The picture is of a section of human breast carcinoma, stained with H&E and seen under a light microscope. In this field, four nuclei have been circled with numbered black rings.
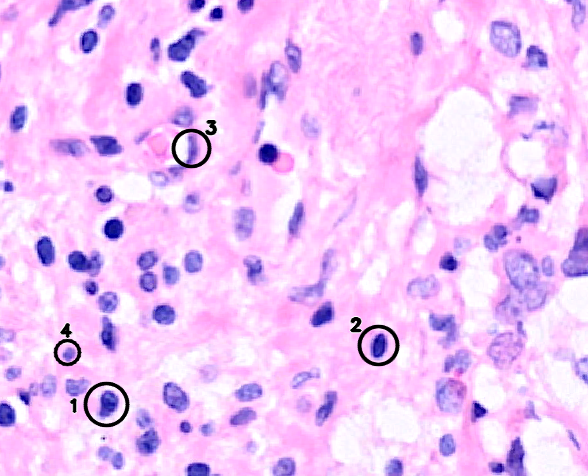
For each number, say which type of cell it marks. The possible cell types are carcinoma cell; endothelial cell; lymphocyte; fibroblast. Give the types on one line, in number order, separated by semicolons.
lymphocyte; lymphocyte; endothelial cell; lymphocyte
